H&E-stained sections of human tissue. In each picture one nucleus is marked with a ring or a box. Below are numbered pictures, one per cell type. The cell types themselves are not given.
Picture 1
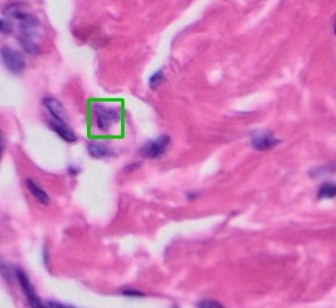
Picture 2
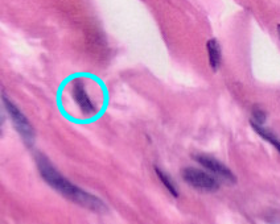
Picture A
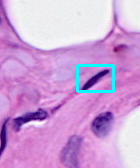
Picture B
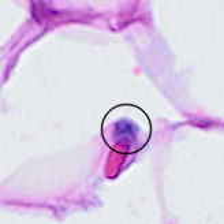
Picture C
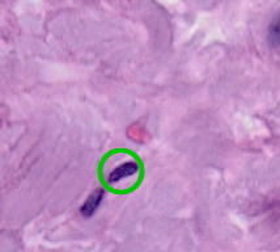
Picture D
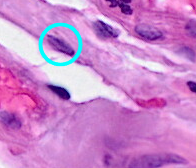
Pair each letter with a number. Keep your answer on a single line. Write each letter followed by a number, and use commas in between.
A 2, B 1, C 2, D 2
